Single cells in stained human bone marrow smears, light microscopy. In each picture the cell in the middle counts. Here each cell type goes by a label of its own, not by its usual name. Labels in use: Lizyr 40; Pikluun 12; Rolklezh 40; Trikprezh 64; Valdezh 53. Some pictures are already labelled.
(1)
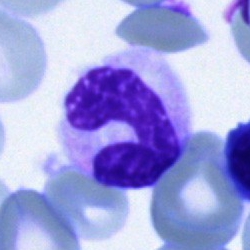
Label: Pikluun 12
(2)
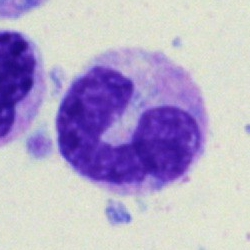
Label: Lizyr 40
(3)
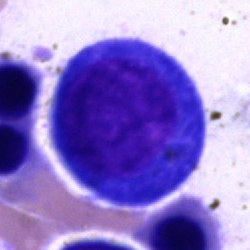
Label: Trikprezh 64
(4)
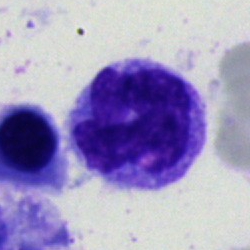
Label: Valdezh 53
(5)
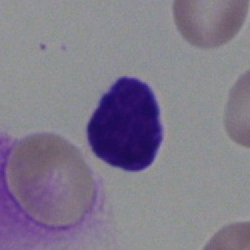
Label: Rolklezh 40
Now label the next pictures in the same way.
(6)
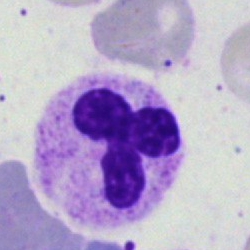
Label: Pikluun 12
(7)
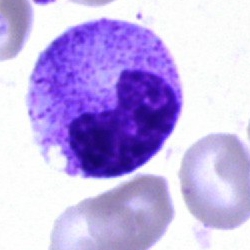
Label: Lizyr 40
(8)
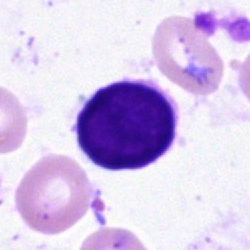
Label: Rolklezh 40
